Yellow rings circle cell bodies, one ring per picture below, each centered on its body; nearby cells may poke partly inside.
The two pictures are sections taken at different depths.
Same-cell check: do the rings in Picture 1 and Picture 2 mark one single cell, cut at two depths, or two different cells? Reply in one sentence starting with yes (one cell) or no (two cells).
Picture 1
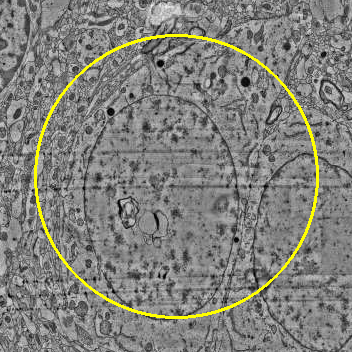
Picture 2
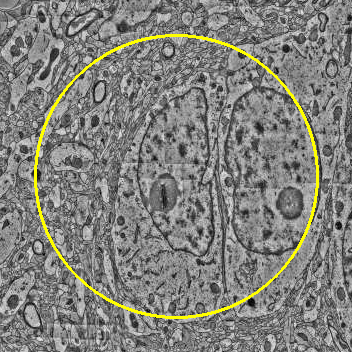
No, each ring in the micrograph marks a distinct cell.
